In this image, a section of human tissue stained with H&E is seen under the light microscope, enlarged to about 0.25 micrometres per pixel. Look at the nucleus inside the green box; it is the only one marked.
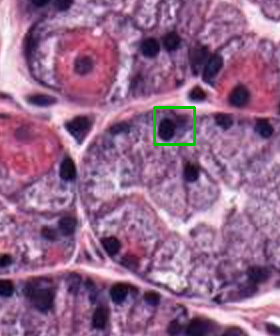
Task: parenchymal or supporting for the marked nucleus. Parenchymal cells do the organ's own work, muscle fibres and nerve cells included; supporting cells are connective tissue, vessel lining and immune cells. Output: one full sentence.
The marked nucleus forms part of a parenchymal cell, namely a chief cell.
